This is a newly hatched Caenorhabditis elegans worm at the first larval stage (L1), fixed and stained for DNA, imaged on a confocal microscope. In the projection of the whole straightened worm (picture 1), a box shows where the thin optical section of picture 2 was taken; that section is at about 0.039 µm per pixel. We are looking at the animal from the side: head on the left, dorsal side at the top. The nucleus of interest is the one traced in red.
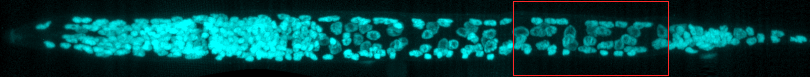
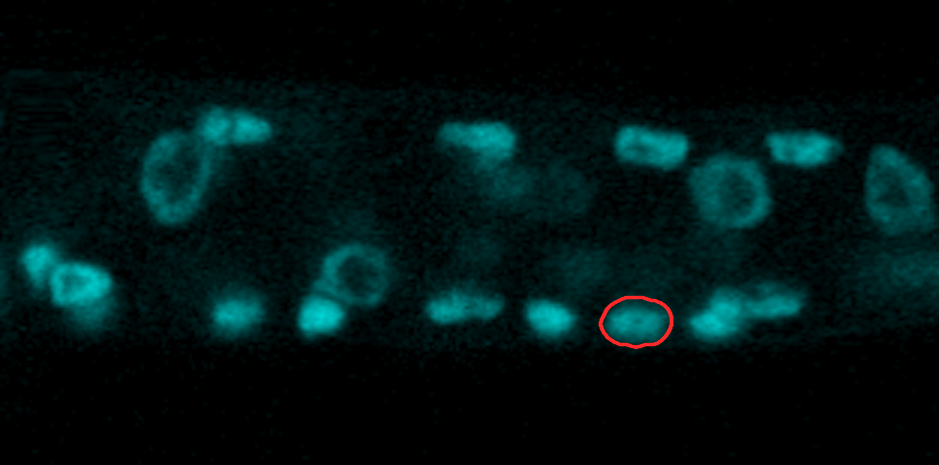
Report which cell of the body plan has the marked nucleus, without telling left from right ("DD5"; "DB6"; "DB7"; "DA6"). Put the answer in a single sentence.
The marked nucleus is that of DB7, a neuron.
